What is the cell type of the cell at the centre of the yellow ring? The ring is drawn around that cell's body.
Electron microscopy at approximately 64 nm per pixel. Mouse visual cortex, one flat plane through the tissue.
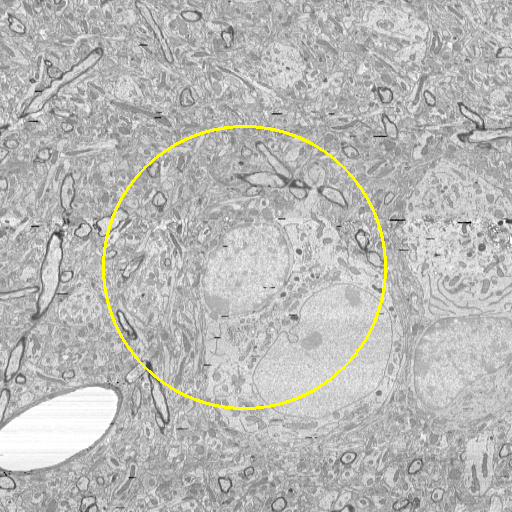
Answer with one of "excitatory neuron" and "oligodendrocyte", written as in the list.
oligodendrocyte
